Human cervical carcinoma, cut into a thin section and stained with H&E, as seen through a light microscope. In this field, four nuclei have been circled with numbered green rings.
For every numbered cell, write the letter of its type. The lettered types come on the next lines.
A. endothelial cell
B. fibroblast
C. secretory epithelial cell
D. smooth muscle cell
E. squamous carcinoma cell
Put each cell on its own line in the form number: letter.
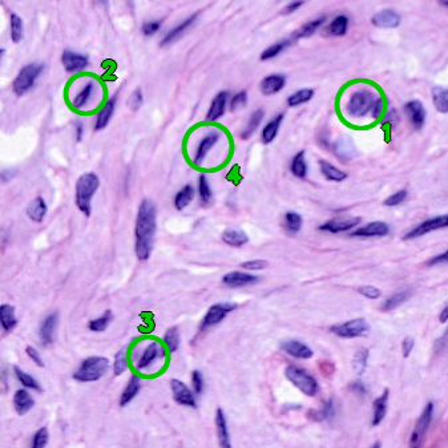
1: A
2: B
3: B
4: B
